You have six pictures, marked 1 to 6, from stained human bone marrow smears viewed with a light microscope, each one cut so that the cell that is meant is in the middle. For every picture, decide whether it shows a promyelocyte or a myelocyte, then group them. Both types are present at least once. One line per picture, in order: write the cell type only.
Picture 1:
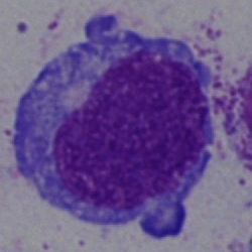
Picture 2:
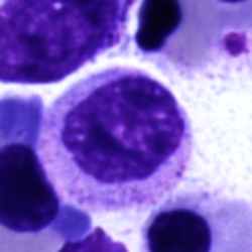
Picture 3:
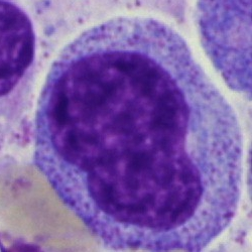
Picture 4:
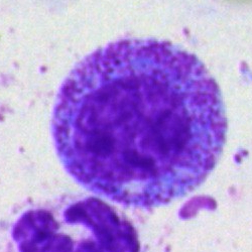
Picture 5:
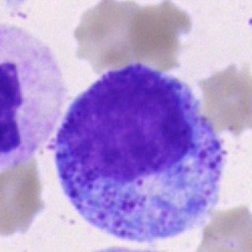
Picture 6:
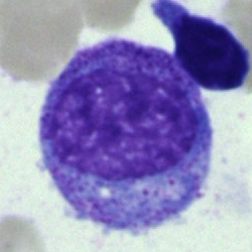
promyelocyte
myelocyte
promyelocyte
myelocyte
promyelocyte
promyelocyte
